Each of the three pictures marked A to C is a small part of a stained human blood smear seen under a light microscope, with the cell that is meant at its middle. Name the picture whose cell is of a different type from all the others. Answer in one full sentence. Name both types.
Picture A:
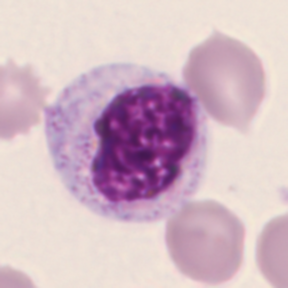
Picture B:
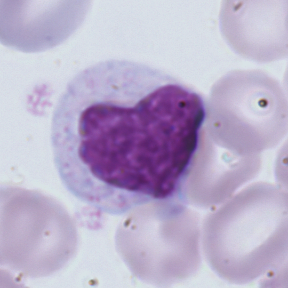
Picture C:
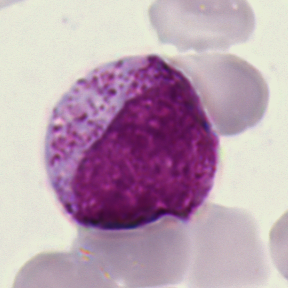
The different one is picture C; it shows a myelocyte, whereas all the others show metamyelocytes.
